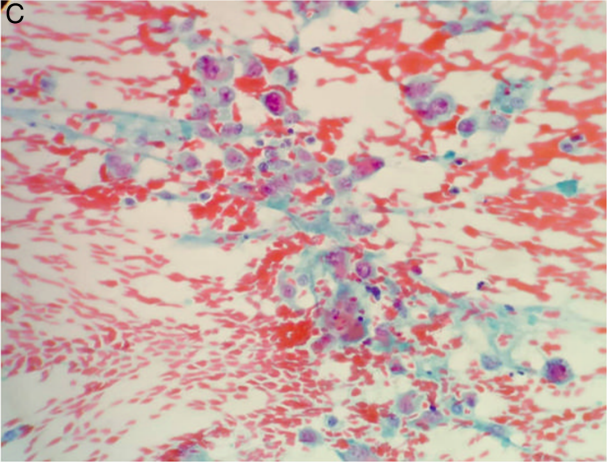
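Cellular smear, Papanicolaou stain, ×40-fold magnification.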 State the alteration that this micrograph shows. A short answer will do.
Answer: Pleomorphism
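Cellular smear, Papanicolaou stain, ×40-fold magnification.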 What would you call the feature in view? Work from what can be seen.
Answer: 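The large nucleated cells lie in loosely cohesive groups rather than singly spread. Groups are small and irregular, set in a bloody background. That points to this answer: loose clusters and small sheets.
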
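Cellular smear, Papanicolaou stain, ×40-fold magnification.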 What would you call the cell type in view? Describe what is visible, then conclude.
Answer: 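Large cells with enlarged purple nuclei stand out among many small red blood cells. The large cells gather in groups in the centre of the field. That points to this answer: malignant cells.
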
